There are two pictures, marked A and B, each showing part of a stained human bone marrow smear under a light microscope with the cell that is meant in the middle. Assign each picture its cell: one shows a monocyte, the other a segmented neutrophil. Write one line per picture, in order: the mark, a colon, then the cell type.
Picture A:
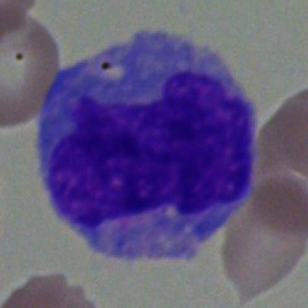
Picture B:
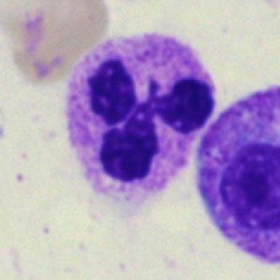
A: monocyte
B: segmented neutrophil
